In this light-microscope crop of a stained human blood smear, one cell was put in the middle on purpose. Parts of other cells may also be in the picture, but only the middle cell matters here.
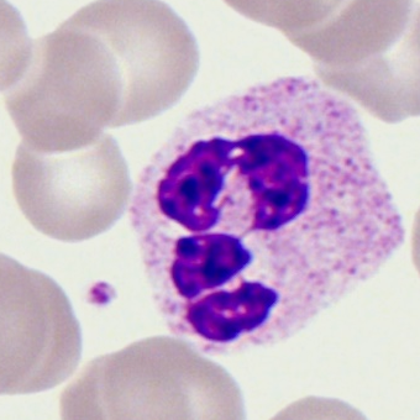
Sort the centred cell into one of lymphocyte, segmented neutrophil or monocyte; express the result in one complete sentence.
The cell shown in the center of this light-microscope crop is a segmented neutrophil.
